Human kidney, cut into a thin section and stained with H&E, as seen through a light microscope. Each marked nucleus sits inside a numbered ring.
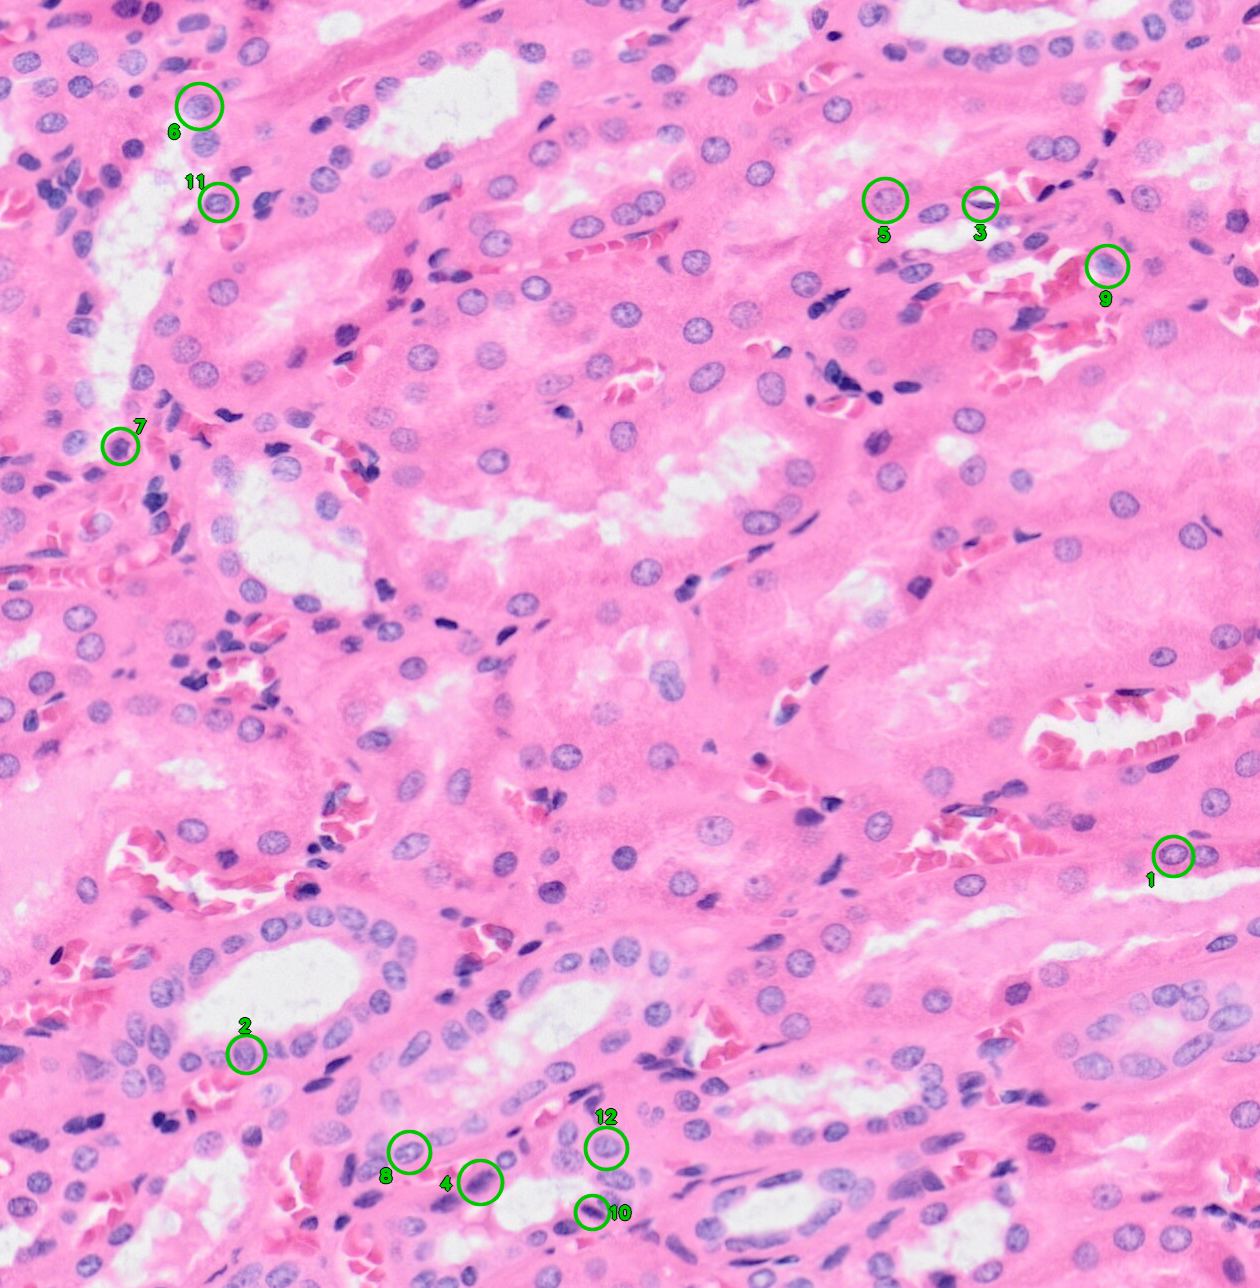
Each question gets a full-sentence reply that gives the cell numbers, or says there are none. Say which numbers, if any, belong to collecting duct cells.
The cells numbered 2, 4, 8, 10 and 12 are identified as collecting duct cells.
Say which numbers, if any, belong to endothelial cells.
The cells numbered 3 and 9 are identified as endothelial cells.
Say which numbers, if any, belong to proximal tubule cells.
In short, the numbered cells 1 and 5 are proximal tubule cells.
